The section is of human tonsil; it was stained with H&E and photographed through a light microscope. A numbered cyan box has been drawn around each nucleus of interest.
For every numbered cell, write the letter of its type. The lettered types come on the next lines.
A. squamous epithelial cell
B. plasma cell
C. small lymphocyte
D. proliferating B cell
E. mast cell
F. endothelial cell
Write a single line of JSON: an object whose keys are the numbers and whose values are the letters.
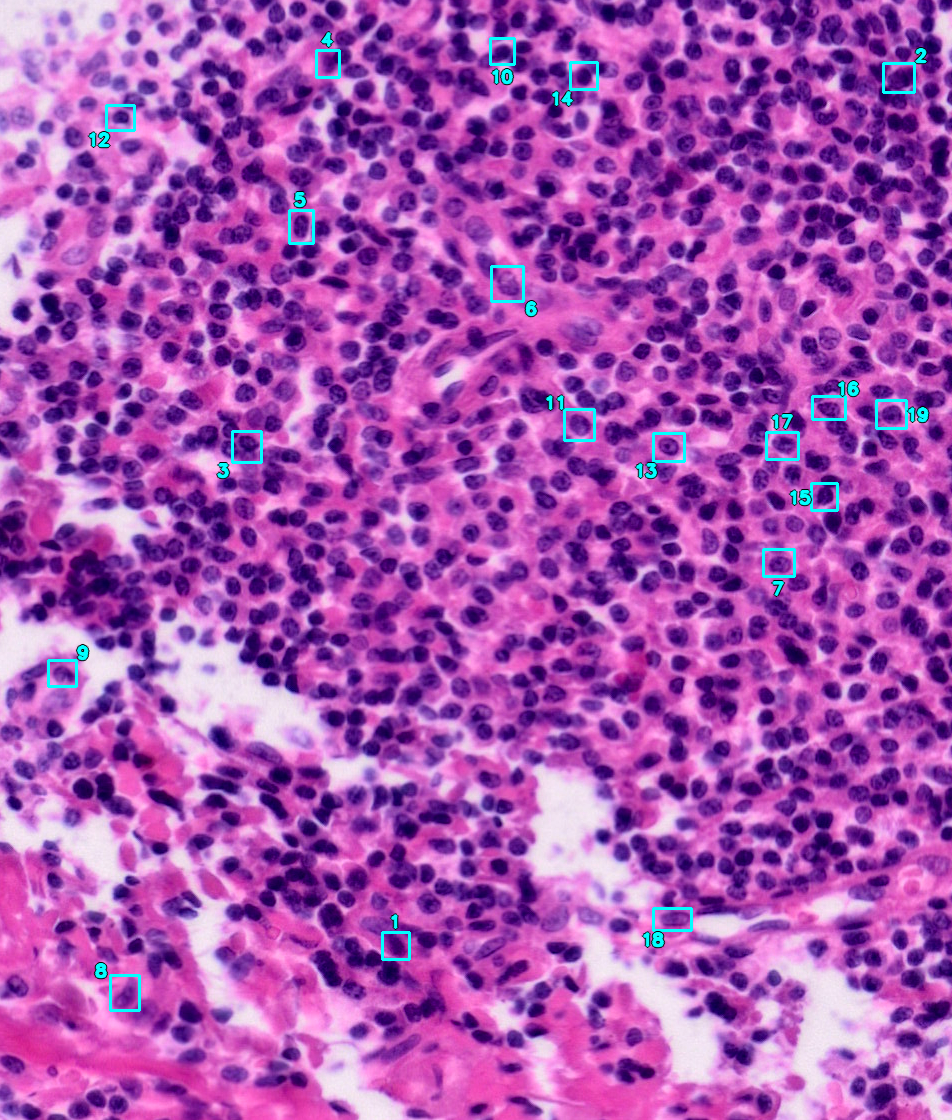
{"1": "F", "2": "C", "3": "B", "4": "F", "5": "B", "6": "F", "7": "B", "8": "F", "9": "F", "10": "C", "11": "B", "12": "C", "13": "B", "14": "C", "15": "B", "16": "B", "17": "B", "18": "F", "19": "B"}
